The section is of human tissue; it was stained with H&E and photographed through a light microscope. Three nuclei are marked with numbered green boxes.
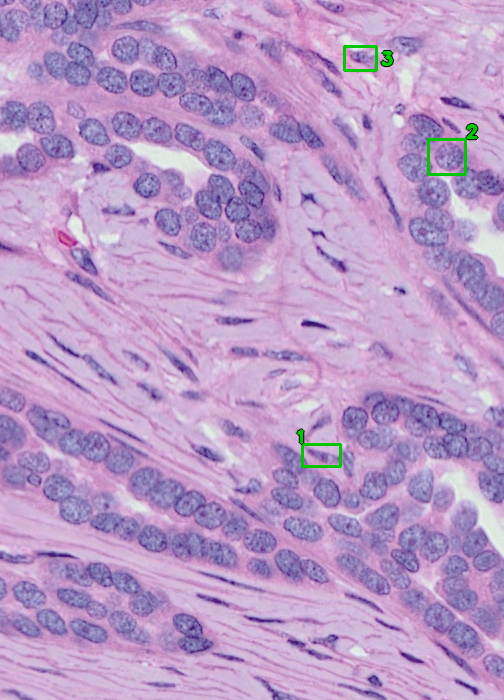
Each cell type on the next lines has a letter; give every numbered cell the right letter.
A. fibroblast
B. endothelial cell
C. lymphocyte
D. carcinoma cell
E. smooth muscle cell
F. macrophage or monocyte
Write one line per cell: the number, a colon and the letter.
1: A
2: D
3: A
